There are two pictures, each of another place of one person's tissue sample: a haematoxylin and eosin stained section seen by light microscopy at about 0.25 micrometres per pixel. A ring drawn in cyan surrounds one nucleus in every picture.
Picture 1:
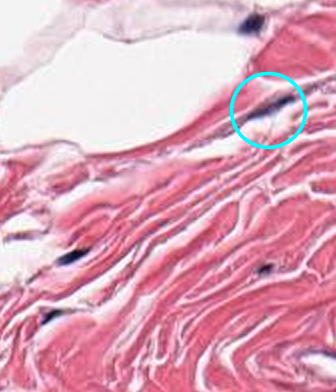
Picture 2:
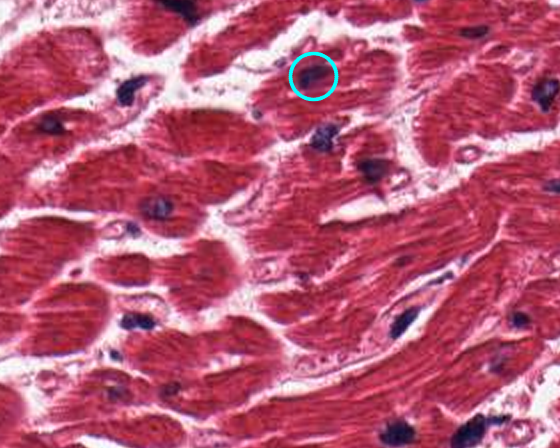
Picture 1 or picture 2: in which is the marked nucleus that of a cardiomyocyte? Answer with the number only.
2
